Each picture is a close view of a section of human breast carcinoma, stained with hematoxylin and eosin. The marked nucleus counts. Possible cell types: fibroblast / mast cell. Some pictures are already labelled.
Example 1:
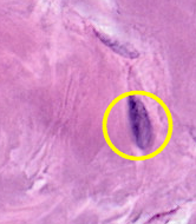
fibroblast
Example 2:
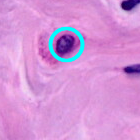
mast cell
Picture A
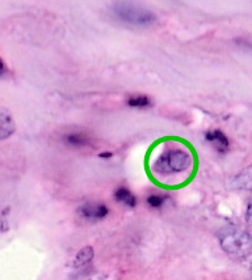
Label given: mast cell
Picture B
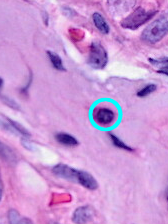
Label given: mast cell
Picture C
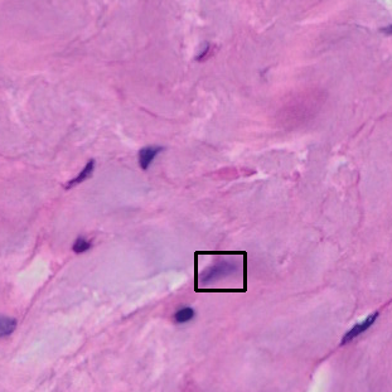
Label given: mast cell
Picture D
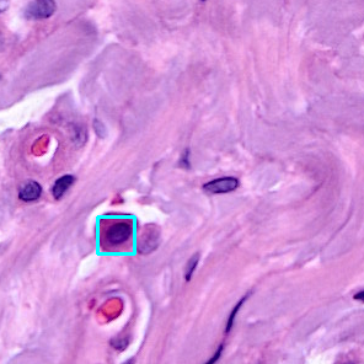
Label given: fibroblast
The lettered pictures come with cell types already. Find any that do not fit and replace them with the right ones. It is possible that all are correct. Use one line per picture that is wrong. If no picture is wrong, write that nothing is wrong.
C should be fibroblast, not mast cell
D should be mast cell, not fibroblast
